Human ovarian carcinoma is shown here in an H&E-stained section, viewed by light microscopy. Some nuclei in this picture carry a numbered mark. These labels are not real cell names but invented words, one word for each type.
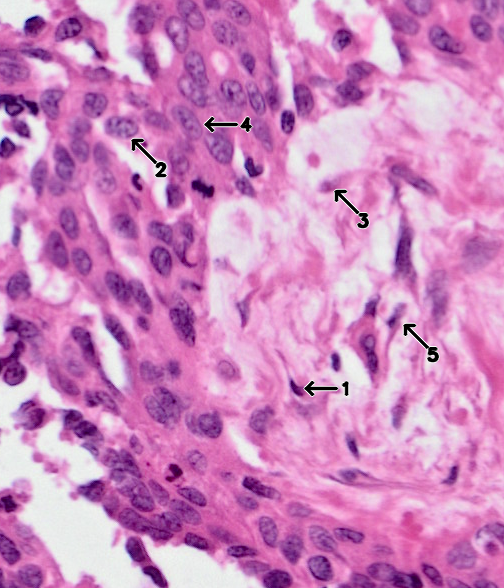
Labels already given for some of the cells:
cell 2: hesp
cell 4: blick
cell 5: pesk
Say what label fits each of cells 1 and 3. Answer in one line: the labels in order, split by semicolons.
pesk; pesk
